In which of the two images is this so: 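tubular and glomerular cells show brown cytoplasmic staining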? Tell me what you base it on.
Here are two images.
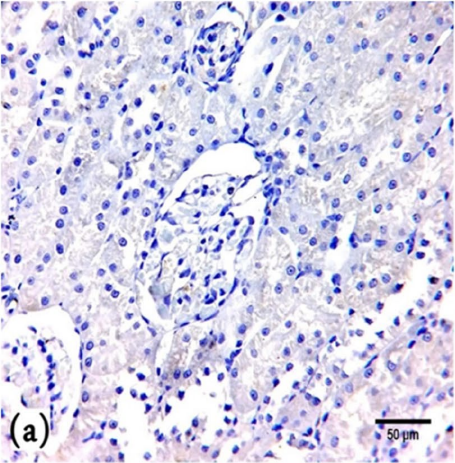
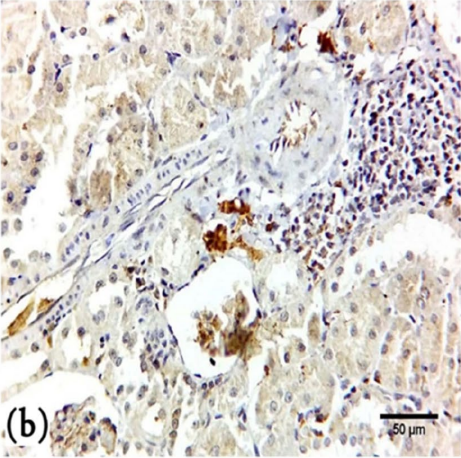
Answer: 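Second image: tubule cytoplasm is brownish and dark brown deposits lie in and near a glomerulus. First image: cells are blue to pale with no distinct brown staining. So: the second image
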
